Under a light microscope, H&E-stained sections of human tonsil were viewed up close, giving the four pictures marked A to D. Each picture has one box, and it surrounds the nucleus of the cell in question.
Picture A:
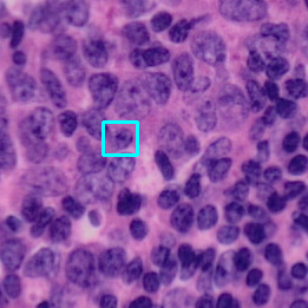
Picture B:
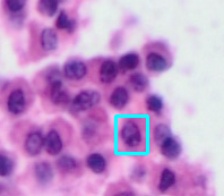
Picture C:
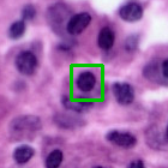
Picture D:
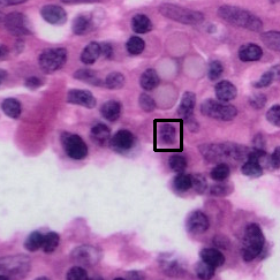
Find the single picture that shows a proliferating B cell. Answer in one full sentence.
The picture with the proliferating B cell is A.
